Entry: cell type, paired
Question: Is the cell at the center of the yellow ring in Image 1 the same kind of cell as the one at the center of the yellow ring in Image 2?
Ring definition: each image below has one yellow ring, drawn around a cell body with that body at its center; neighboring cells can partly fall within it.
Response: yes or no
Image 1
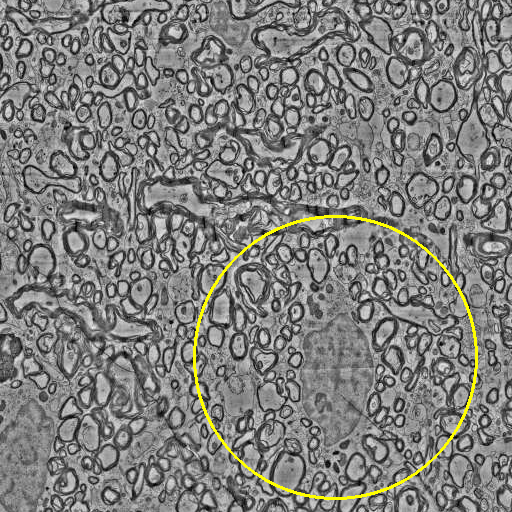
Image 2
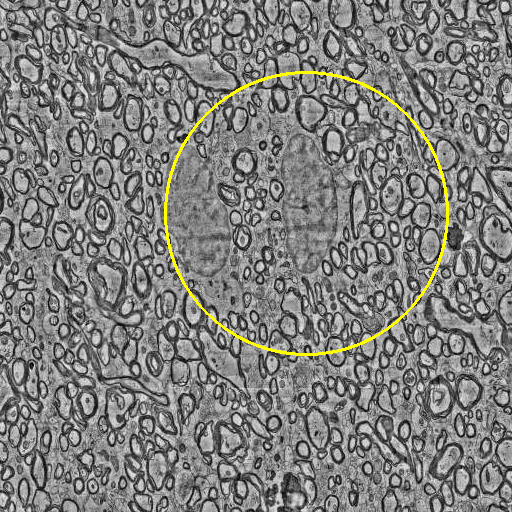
yes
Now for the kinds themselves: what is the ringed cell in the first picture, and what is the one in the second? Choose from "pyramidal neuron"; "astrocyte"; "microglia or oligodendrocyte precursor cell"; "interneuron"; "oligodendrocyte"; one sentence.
Each of the two rings is centred on an oligodendrocyte.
